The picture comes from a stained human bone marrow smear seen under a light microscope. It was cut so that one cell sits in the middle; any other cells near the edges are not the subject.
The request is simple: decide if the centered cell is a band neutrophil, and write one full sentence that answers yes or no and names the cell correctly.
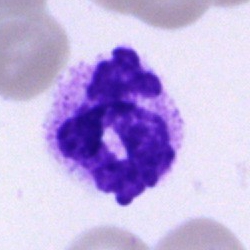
No, in the middle of the crop there is a segmented neutrophil rather than a band neutrophil.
